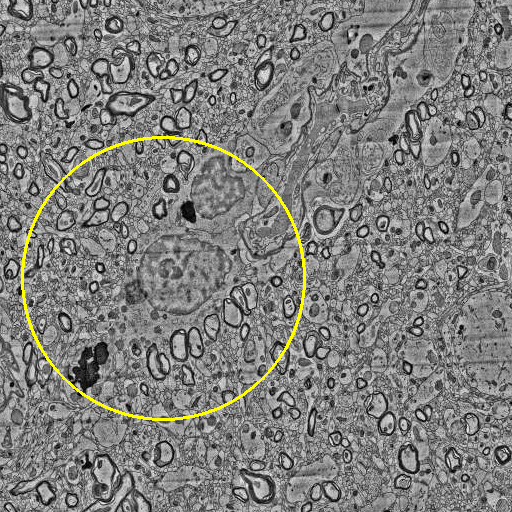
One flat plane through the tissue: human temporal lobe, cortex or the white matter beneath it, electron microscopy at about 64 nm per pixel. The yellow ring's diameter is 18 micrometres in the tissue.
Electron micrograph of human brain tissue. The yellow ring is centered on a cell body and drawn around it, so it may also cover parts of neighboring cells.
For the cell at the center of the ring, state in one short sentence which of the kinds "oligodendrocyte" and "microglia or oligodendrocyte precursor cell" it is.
This ring is centered on an oligodendrocyte.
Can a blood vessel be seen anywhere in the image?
Yes, there is a blood vessel.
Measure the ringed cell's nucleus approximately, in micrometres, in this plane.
In this plane the nucleus is about 5 micrometres across.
